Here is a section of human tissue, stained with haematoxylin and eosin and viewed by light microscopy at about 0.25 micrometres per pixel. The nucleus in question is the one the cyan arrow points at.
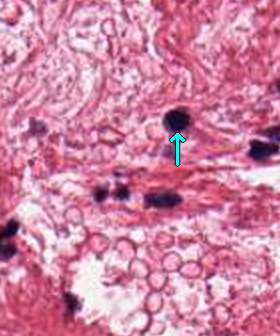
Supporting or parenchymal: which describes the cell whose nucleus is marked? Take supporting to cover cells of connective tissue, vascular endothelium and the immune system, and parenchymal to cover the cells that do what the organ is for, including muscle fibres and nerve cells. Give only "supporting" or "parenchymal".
supporting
